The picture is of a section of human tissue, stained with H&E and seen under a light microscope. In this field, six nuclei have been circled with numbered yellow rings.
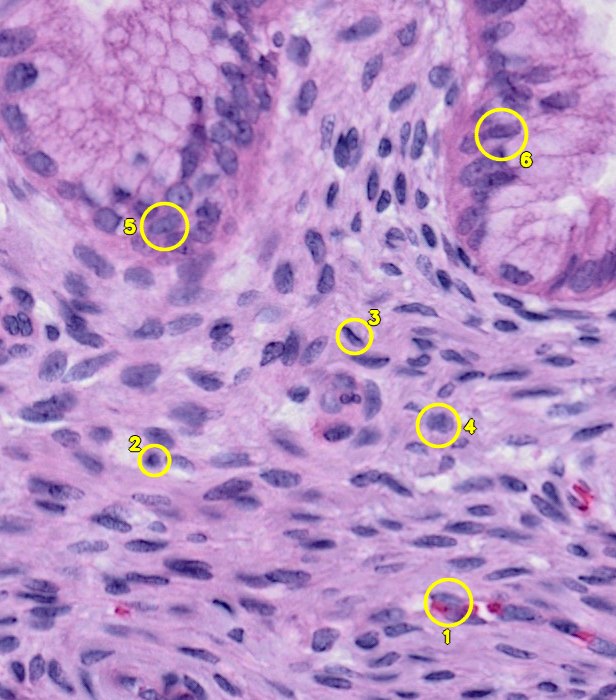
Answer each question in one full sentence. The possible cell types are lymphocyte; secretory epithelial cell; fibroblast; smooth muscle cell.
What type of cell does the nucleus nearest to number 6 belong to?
The cell nearest to number 6 is a secretory epithelial cell.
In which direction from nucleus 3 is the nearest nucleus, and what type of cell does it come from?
A fibroblast lies closest, below and to the right of nucleus 3.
